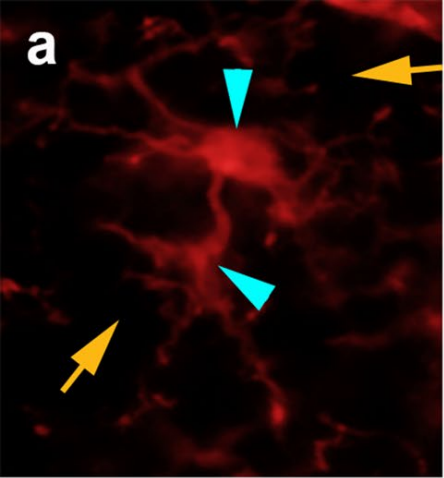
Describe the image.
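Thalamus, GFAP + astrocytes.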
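Several thin, branching processes extend from it in different directions, giving the cell a star-like form. The surrounding tissue between the processes shows only faint, scattered red labelling.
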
